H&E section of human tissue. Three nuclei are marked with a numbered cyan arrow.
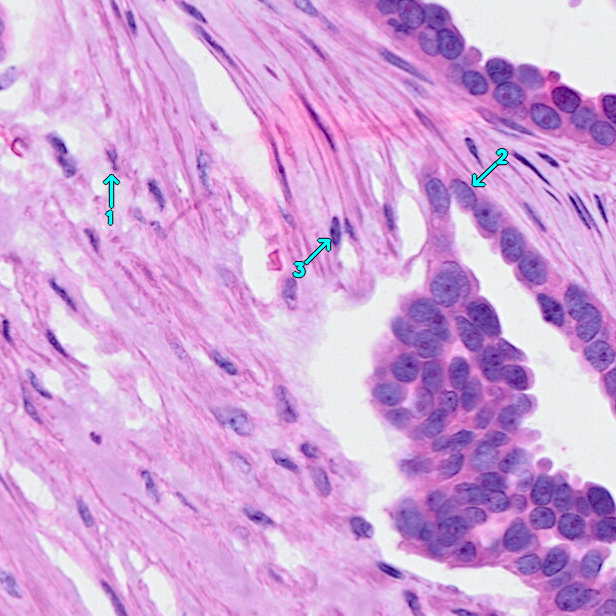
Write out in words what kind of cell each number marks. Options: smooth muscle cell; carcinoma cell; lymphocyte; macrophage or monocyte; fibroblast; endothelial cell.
Cell 1 is a fibroblast, cell 2 is a carcinoma cell and cell 3 is a fibroblast.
